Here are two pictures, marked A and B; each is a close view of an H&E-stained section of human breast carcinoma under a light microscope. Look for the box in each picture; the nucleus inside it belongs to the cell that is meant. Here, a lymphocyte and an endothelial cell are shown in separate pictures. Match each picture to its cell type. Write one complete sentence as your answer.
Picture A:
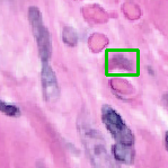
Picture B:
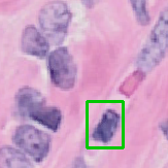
In picture A the cell is an endothelial cell; in picture B, a lymphocyte.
